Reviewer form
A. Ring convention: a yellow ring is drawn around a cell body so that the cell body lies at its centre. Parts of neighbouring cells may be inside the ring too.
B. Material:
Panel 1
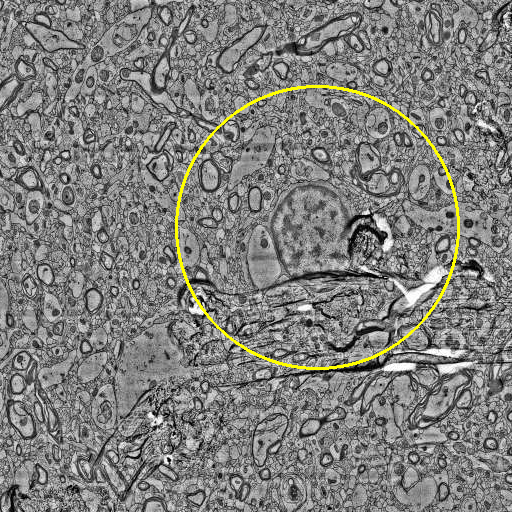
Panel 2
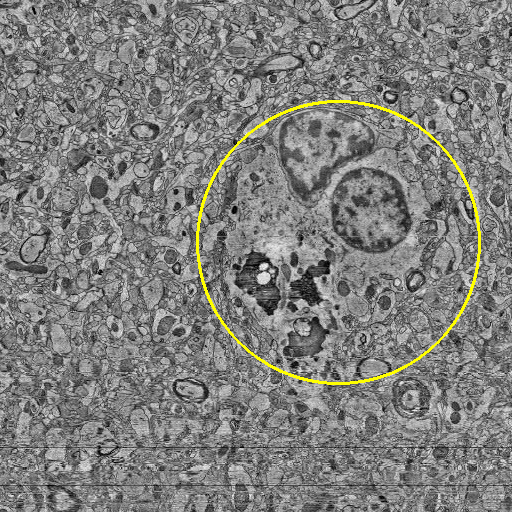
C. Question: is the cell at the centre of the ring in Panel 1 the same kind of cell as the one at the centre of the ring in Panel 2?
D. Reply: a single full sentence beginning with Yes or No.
No, the cells in Panel 1 and Panel 2 are two kinds of cell.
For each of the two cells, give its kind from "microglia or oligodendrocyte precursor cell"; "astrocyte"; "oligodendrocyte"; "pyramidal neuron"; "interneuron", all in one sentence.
The first picture has an oligodendrocyte in its ring, the second has an astrocyte.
